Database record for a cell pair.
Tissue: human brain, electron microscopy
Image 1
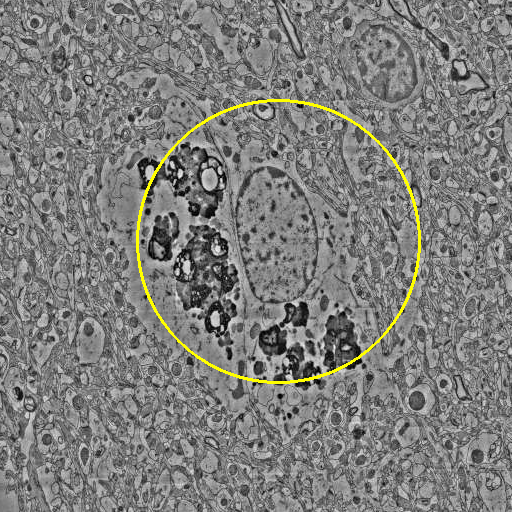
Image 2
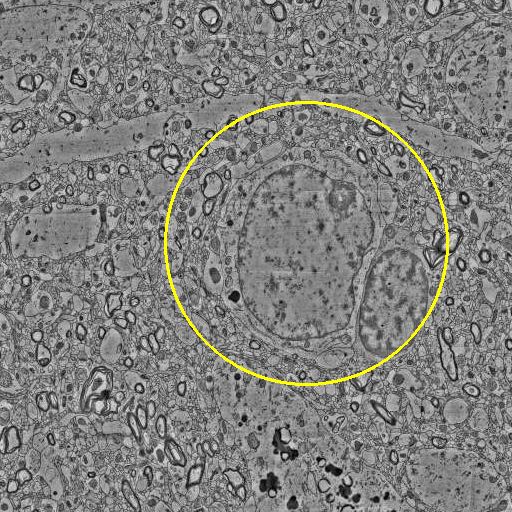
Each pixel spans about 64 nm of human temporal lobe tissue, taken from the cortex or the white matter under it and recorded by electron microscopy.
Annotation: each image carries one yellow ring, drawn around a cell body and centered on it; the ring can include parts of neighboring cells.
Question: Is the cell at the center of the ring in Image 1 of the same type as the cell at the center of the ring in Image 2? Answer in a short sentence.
No, the cells are of two types.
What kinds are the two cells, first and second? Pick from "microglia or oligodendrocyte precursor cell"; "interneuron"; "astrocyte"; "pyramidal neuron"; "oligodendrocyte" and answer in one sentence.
The second picture holds an interneuron in its ring, and the first holds an astrocyte.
